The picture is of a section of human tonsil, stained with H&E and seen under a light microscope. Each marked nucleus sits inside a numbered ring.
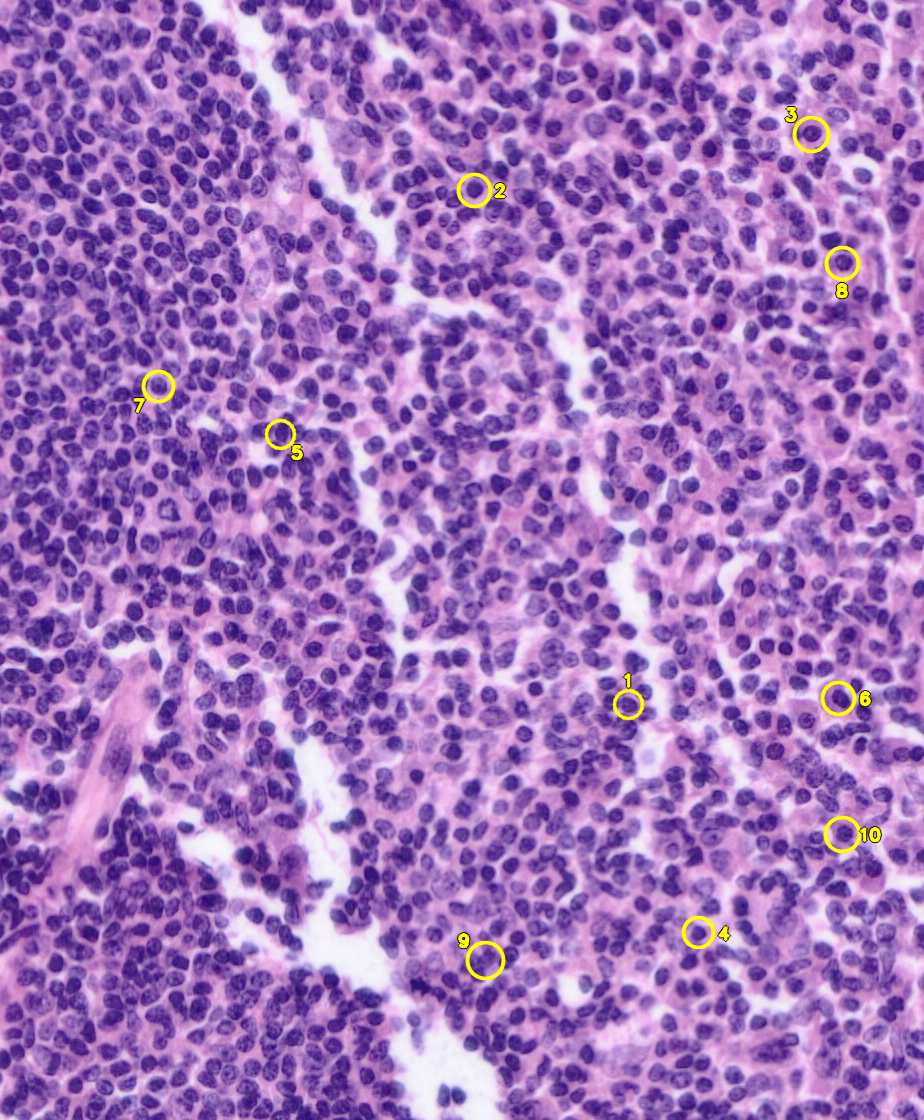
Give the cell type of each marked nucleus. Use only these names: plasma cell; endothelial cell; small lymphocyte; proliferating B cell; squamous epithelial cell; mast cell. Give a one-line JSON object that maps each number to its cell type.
{"1": "small lymphocyte", "2": "small lymphocyte", "3": "plasma cell", "4": "small lymphocyte", "5": "small lymphocyte", "6": "plasma cell", "7": "small lymphocyte", "8": "plasma cell", "9": "small lymphocyte", "10": "plasma cell"}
